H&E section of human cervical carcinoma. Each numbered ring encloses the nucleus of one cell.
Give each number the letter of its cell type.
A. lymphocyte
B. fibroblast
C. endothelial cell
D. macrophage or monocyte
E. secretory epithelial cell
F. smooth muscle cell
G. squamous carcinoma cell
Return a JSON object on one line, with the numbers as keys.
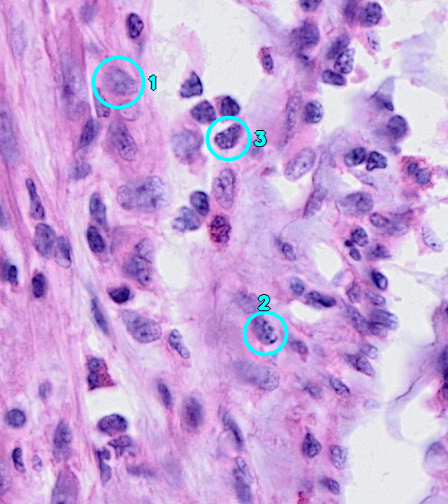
{"1": "C", "2": "A", "3": "A"}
